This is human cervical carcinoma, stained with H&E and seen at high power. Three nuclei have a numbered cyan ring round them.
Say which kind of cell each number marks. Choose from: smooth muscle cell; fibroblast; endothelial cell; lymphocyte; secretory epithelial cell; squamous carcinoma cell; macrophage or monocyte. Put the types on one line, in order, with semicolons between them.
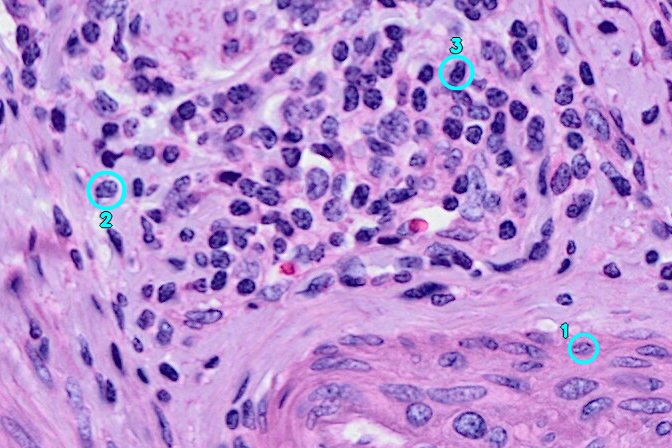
smooth muscle cell; lymphocyte; lymphocyte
